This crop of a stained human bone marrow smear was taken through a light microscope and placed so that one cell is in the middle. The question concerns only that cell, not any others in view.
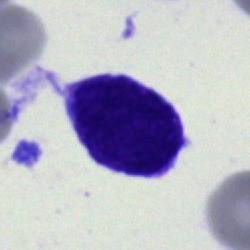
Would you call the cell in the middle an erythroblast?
no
